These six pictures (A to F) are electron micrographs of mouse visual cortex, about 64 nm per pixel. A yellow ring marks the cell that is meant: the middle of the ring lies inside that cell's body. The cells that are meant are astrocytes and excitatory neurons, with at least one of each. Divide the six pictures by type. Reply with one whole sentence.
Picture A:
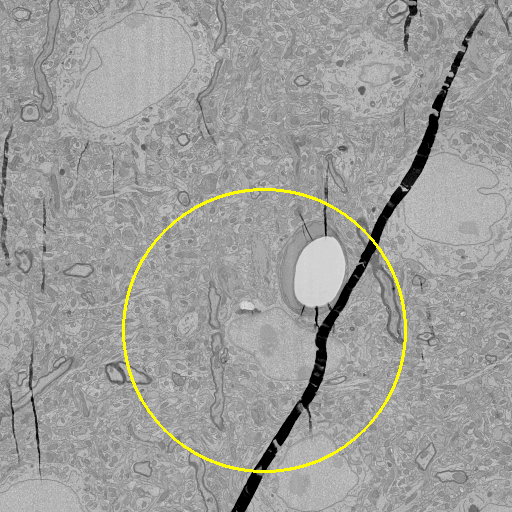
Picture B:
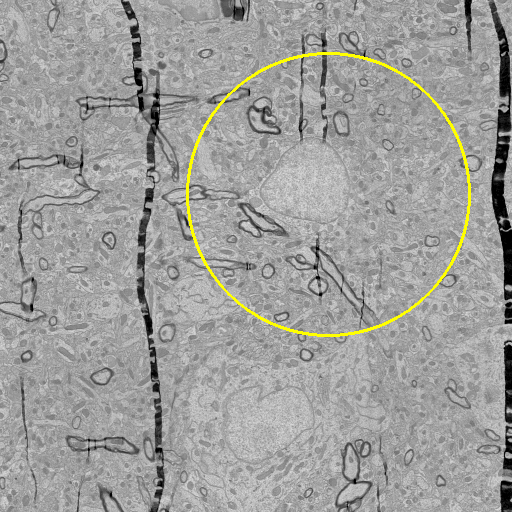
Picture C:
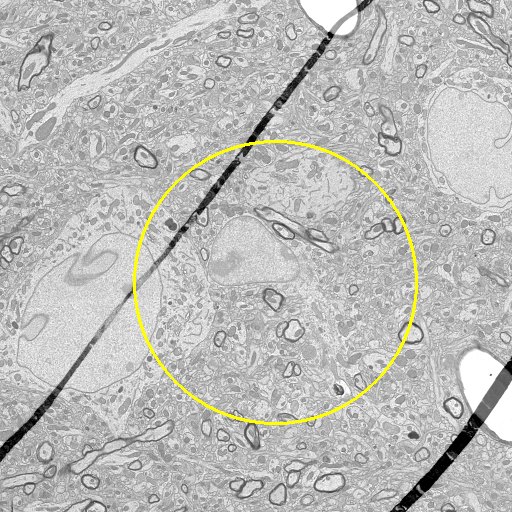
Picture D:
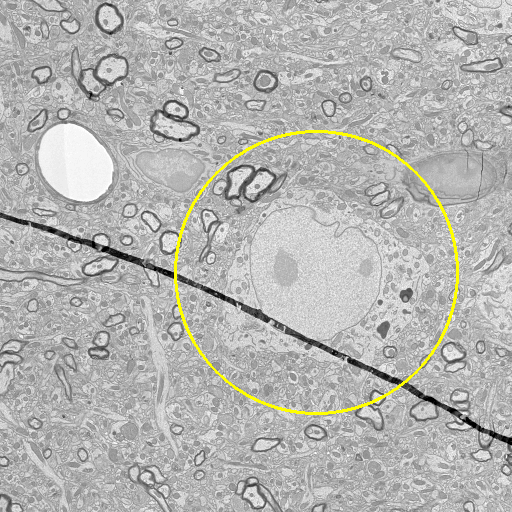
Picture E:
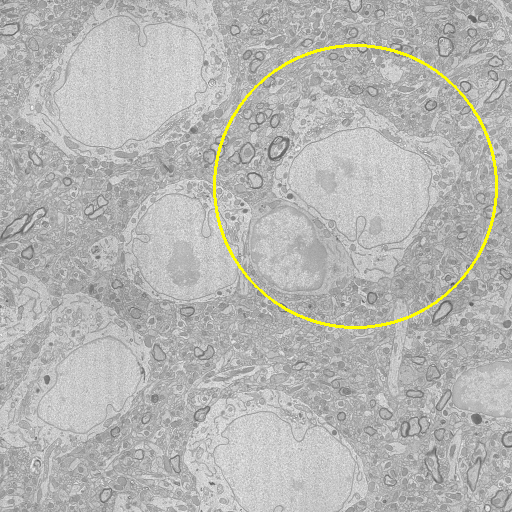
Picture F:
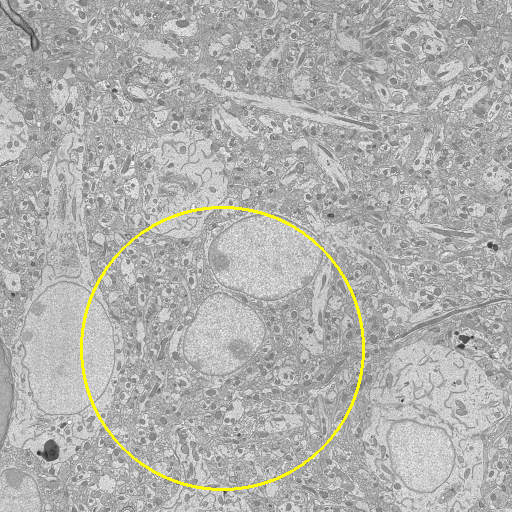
Pictures A, B, C and F show astrocytes, and pictures D and E show excitatory neurons.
